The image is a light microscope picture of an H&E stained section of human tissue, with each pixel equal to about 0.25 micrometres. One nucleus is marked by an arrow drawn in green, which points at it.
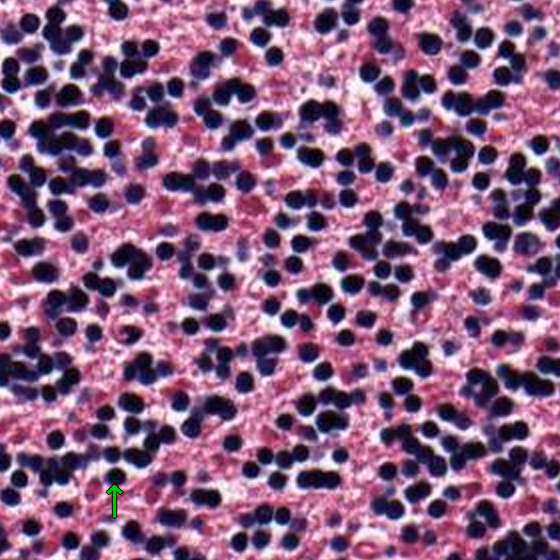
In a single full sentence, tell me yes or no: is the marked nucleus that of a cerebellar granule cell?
Yes, the nucleus singled out in the image belongs to a cerebellar granule cell.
